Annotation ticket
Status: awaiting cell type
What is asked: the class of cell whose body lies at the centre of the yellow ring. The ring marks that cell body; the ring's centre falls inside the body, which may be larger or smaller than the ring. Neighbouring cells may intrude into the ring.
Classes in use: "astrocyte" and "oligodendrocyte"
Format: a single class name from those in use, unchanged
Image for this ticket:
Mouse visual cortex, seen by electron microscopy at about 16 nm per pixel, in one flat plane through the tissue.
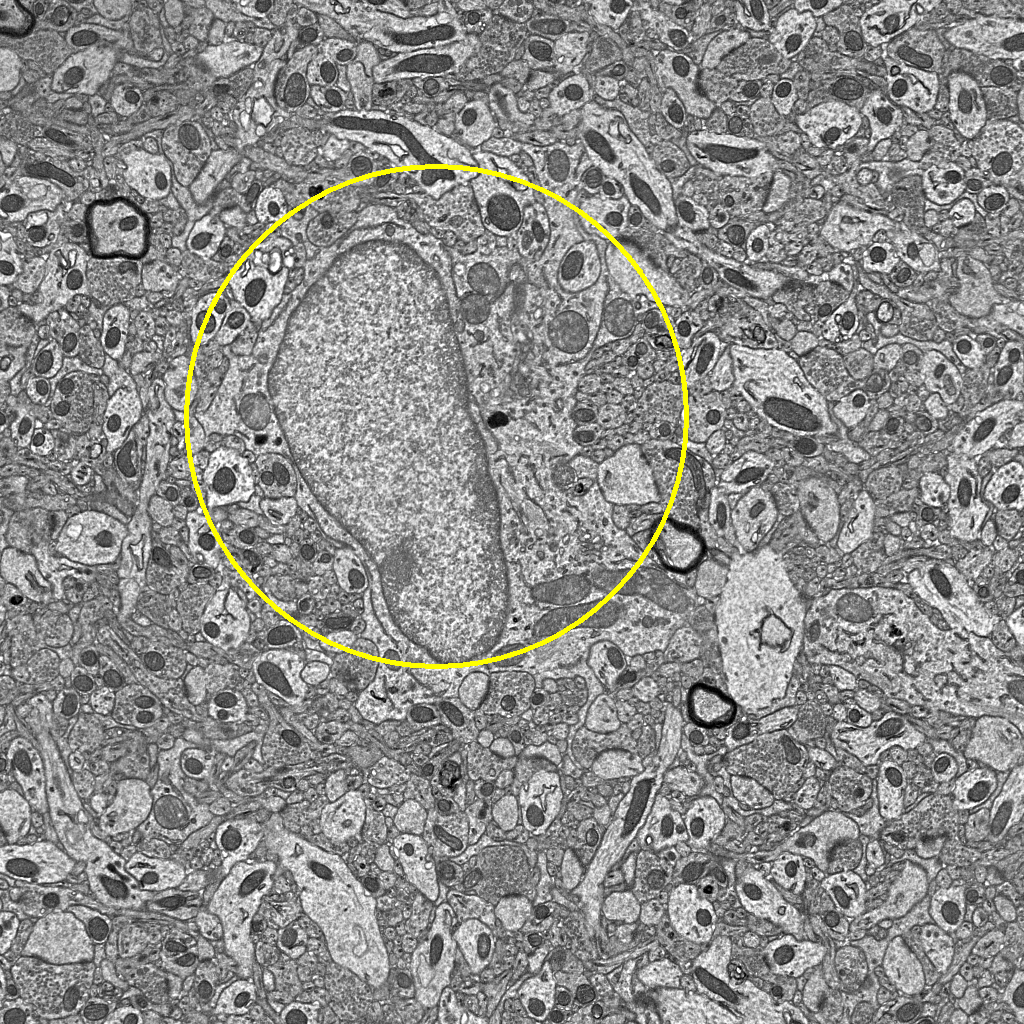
astrocyte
